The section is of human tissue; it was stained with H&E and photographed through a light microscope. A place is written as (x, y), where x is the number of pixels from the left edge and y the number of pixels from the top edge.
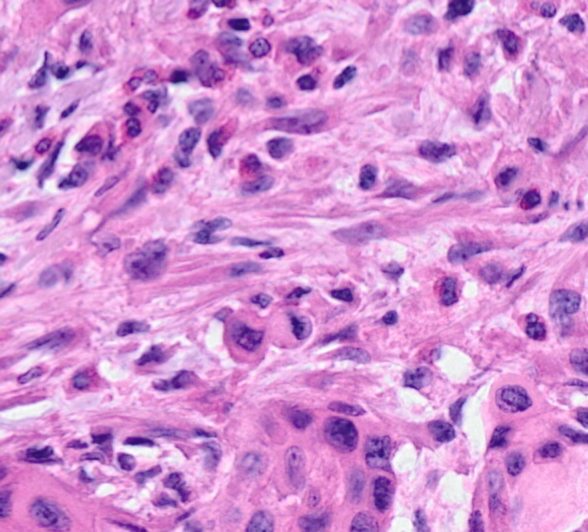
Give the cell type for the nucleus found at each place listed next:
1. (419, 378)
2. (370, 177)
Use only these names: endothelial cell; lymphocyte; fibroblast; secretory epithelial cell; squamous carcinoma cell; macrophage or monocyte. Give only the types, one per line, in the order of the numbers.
macrophage or monocyte
lymphocyte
